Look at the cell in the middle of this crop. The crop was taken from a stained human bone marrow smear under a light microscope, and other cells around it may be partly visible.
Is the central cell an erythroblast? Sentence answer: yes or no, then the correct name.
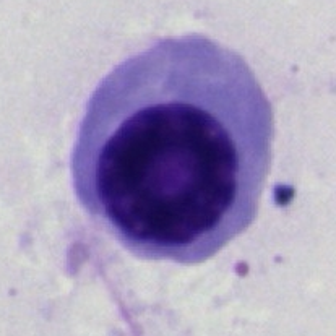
Yes, the cell in the middle has the identity of an erythroblast.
